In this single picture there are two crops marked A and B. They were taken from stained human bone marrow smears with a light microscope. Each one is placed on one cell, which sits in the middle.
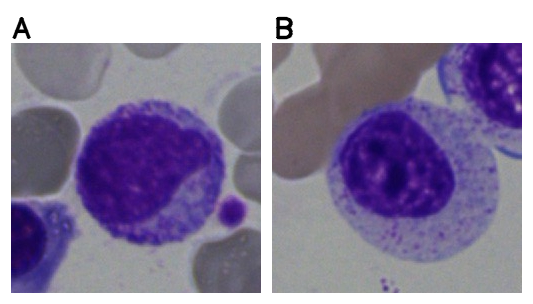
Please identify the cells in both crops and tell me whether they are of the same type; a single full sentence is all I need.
Yes, the centre cells of both crops are myelocytes.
